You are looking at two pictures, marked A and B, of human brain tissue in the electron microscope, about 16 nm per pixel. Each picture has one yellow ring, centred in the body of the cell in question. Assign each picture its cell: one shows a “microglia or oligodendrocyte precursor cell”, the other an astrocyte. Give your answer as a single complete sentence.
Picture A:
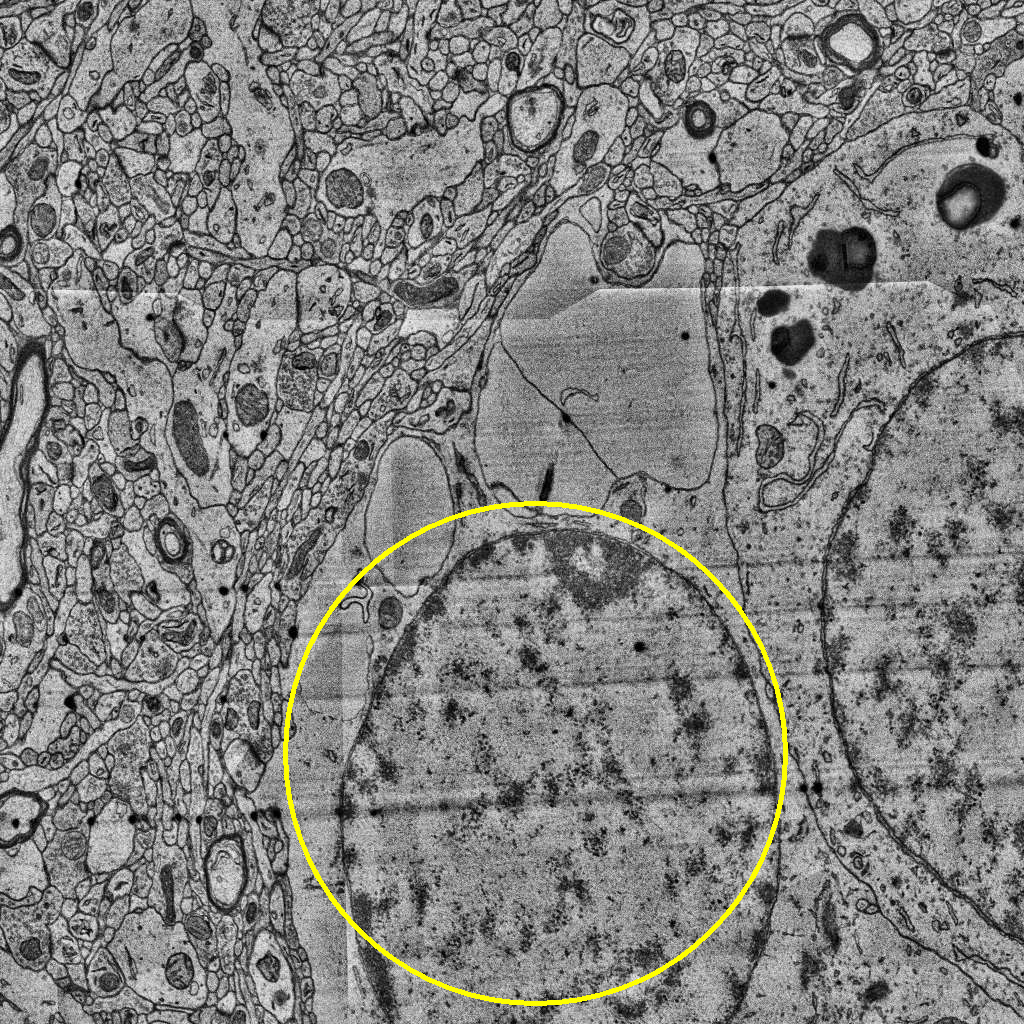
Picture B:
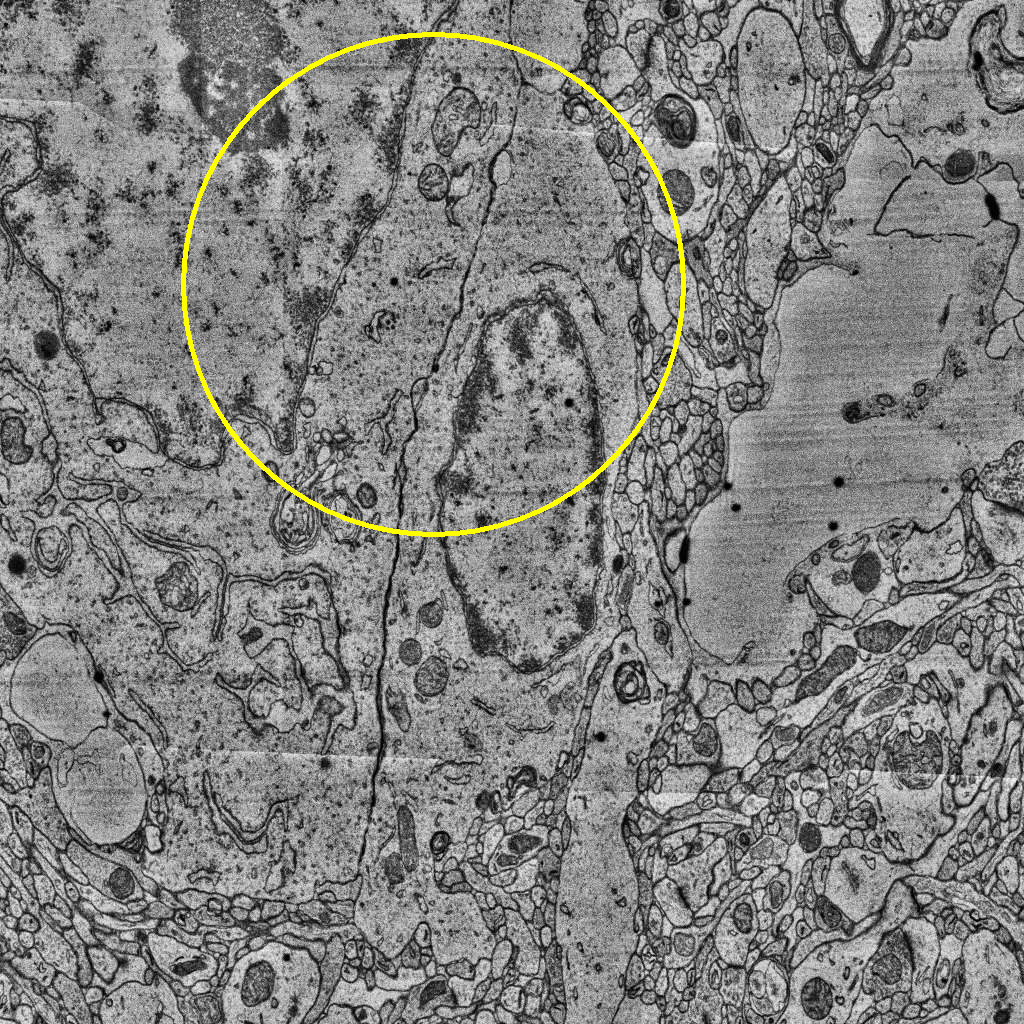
Picture B shows a “microglia or oligodendrocyte precursor cell”, while picture A shows an astrocyte.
